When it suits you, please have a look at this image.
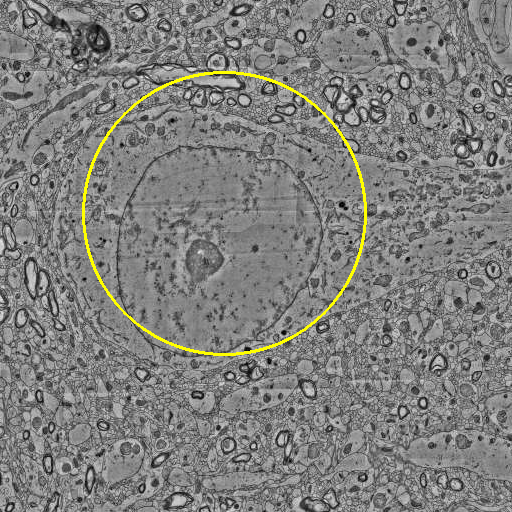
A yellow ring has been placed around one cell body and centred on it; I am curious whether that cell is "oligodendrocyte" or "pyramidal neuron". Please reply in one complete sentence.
The ringed cell, a pyramidal neuron, has its body at the centre of the yellow ring.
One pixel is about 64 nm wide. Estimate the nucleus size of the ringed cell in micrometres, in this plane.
Approximately 14 micrometres across in this plane.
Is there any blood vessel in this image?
No.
